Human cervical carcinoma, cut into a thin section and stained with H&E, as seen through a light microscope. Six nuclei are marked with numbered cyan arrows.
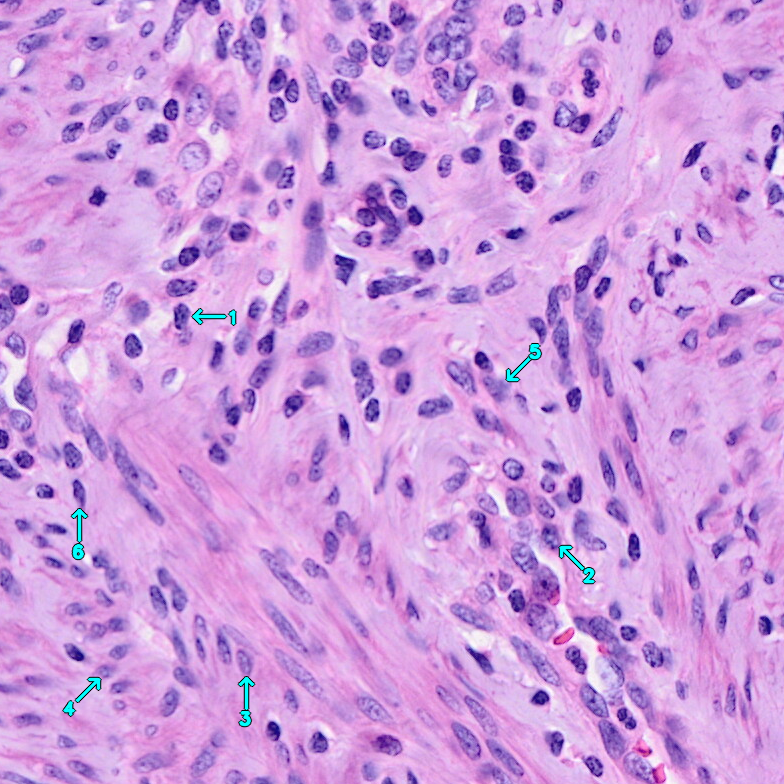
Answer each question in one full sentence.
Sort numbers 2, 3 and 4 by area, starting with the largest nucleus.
The nuclei rank 2, 3, 4, from largest to smallest.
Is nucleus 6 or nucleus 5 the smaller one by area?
Nucleus 6 is the smaller one; nucleus 5 covers about 2 times its area.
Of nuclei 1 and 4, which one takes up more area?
Of the two, number 1 is bigger and takes up about 2 times the area of number 4.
